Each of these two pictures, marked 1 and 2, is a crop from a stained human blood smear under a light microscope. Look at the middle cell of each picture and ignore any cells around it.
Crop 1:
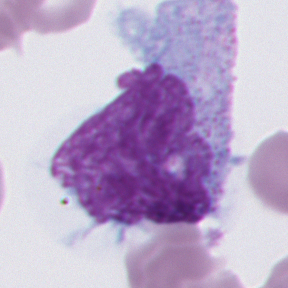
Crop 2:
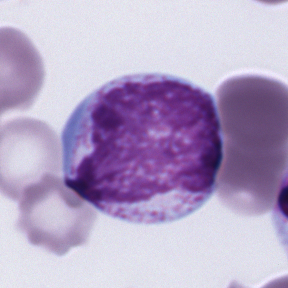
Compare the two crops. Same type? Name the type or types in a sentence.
No, crop 1 and crop 2 show a monocyte and a myelocyte respectively.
